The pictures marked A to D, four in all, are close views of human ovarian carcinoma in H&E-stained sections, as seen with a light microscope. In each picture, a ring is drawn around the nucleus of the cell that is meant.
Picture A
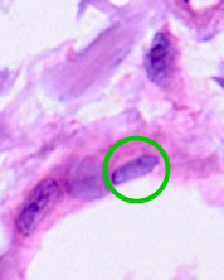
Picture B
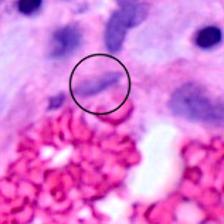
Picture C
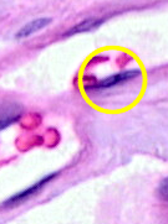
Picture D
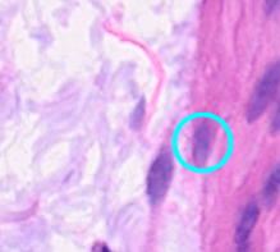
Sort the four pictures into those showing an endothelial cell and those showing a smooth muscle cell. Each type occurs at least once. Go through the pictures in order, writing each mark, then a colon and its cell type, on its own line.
A: endothelial cell
B: endothelial cell
C: endothelial cell
D: smooth muscle cell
